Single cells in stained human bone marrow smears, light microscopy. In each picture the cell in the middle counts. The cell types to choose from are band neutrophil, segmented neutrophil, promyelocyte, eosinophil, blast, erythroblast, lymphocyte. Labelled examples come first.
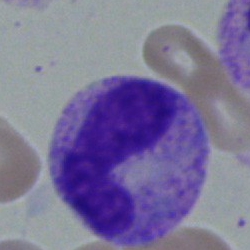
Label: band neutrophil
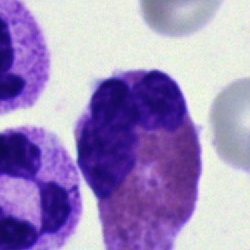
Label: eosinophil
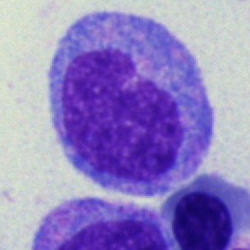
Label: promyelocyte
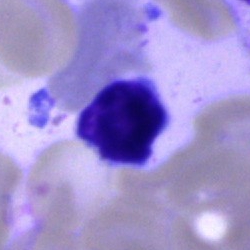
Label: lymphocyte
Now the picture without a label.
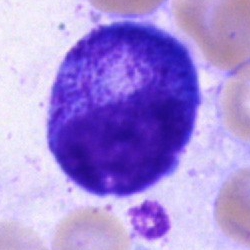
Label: promyelocyte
